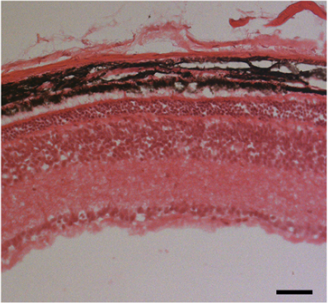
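This is a cross-section of a degenerating retina stained with hematoxylin and eosin, in which the layer of photoreceptor nuclei is markedly thinned. The dark pigmented band at the top lies almost directly on the nuclear layers, with little of the pale pink band of outer and inner segments left between them. The outer nuclear layer holds only a few rows of nuclei, loosely arranged with pale gaps between them. The outer plexiform layer, inner nuclear layer and pink fibrillar inner plexiform layer below remain recognisable as bands.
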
